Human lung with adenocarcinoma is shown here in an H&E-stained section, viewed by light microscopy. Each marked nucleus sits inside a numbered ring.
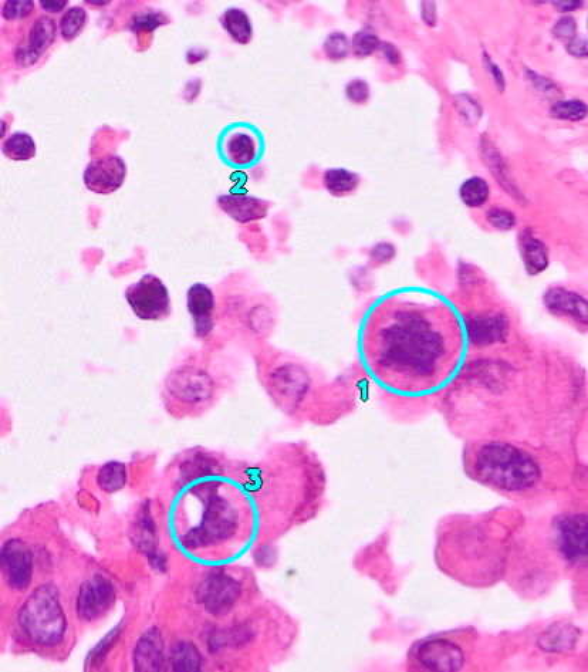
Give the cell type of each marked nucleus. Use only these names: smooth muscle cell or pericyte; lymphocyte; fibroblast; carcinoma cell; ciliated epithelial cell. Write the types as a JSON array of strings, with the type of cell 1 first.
["carcinoma cell", "lymphocyte", "carcinoma cell"]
